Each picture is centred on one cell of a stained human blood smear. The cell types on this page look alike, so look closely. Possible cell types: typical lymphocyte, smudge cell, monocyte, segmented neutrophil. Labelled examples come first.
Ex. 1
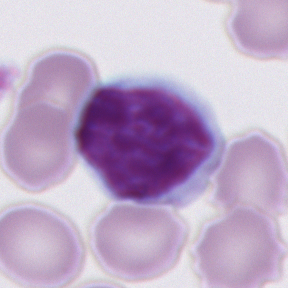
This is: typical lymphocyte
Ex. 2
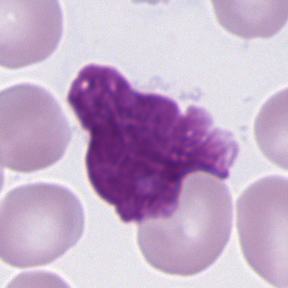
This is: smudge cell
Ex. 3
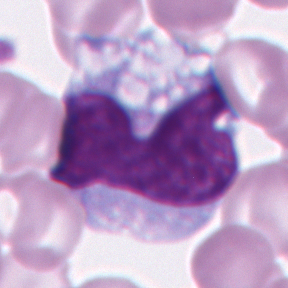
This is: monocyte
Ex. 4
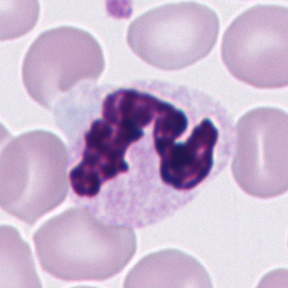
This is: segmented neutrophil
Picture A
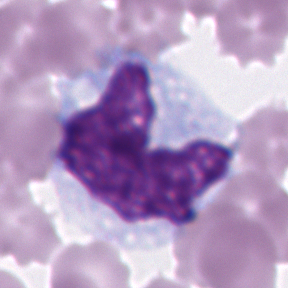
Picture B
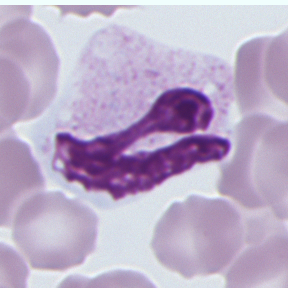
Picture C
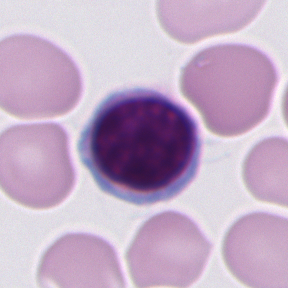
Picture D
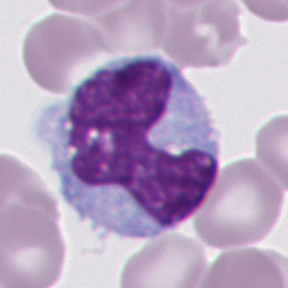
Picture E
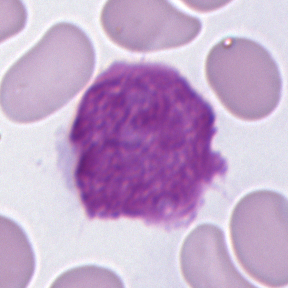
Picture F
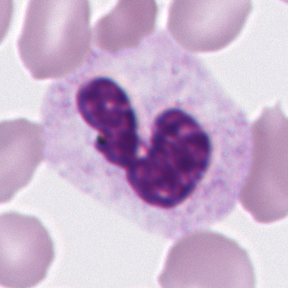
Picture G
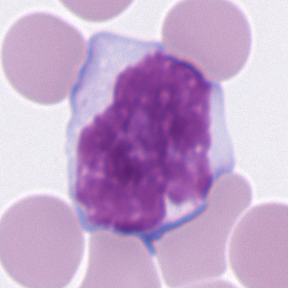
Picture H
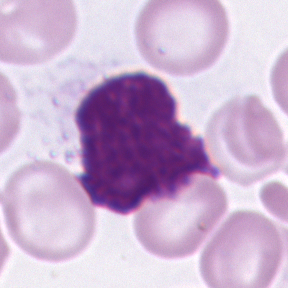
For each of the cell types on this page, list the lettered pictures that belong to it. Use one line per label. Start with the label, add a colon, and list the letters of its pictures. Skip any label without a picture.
typical lymphocyte: C
smudge cell: E, H
monocyte: A, D, G
segmented neutrophil: B, F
